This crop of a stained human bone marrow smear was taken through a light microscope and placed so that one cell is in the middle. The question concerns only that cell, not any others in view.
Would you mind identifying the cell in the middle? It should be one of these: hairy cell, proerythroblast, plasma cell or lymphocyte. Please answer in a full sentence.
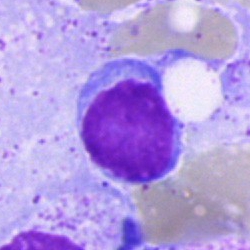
The cell nearest the centre of this crop is a lymphocyte.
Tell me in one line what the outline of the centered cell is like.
If you check the edge, you will find it smooth without projections.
